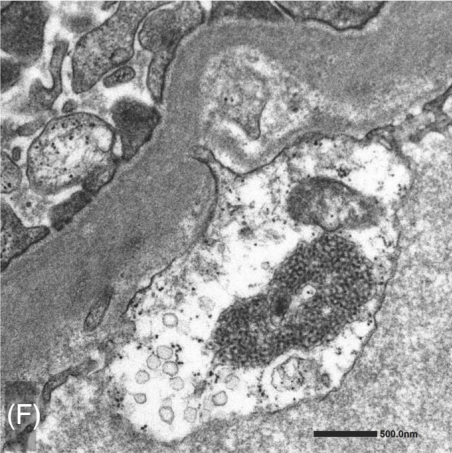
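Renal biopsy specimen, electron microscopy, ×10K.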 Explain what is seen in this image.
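A glomerular endothelial cell lies along a broad, homogeneous grey basement membrane. Within its pale cytoplasm sits a dense cluster of fine interconnected tubules forming a tubuloreticular structure, beside small round vesicles.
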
